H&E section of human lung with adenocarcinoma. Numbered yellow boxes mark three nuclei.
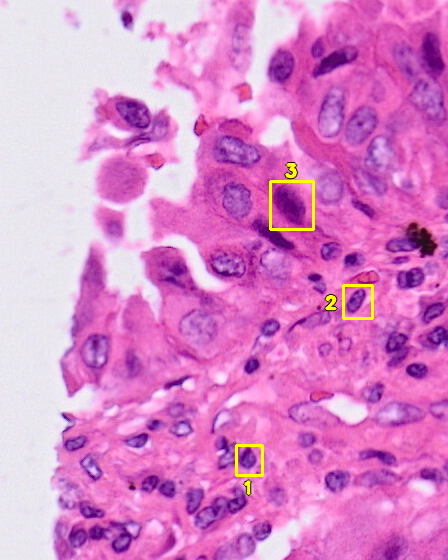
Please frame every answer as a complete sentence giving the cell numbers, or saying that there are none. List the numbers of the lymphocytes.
Within this tissue, the cells numbered 1 and 2 are lymphocytes.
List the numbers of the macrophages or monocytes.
The correct answer is that none of the numbered cells are macrophages or monocytes.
